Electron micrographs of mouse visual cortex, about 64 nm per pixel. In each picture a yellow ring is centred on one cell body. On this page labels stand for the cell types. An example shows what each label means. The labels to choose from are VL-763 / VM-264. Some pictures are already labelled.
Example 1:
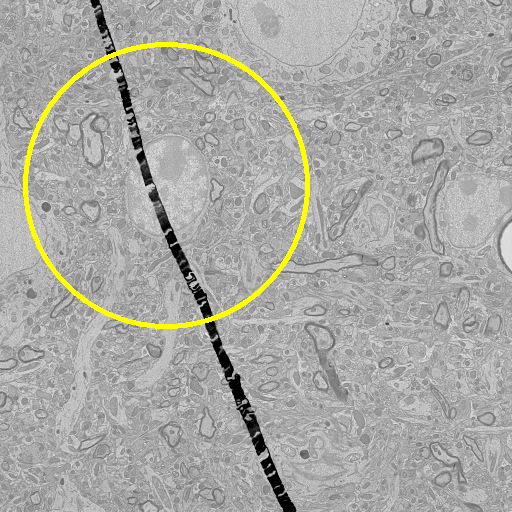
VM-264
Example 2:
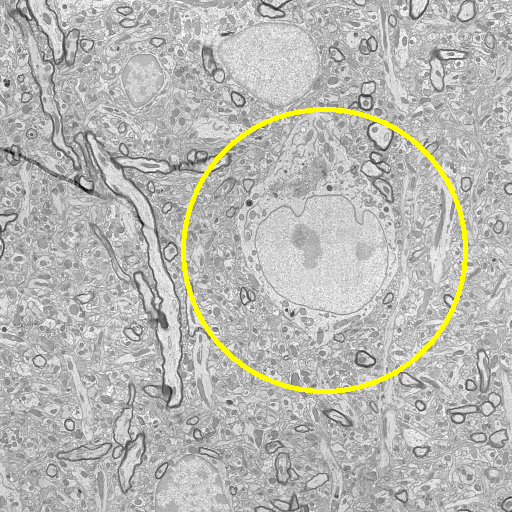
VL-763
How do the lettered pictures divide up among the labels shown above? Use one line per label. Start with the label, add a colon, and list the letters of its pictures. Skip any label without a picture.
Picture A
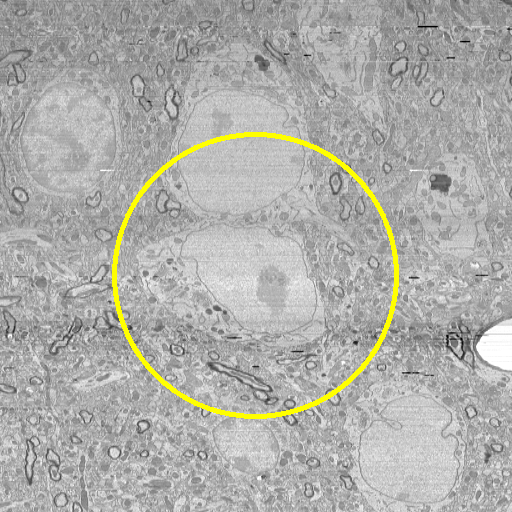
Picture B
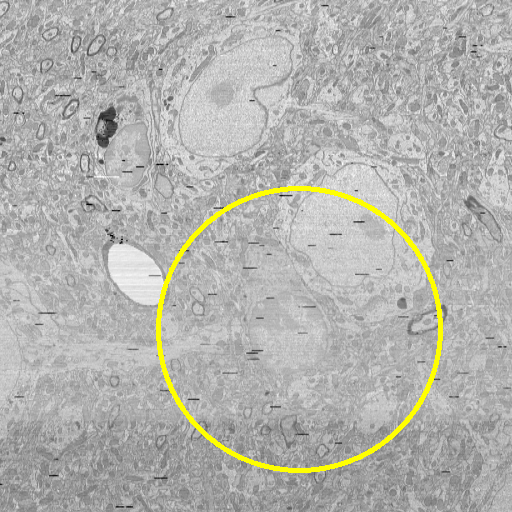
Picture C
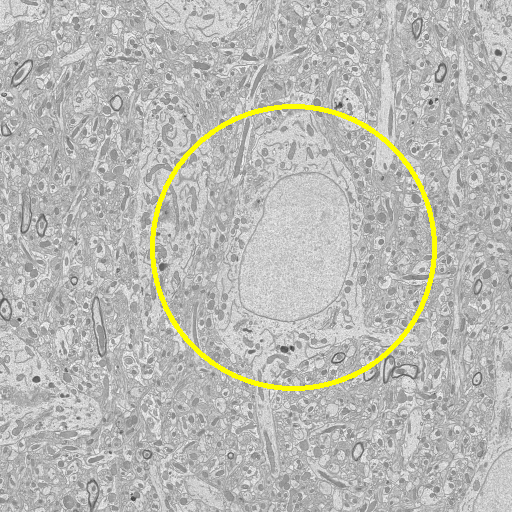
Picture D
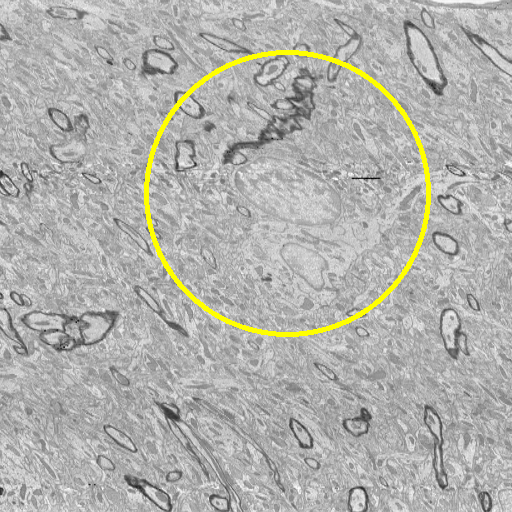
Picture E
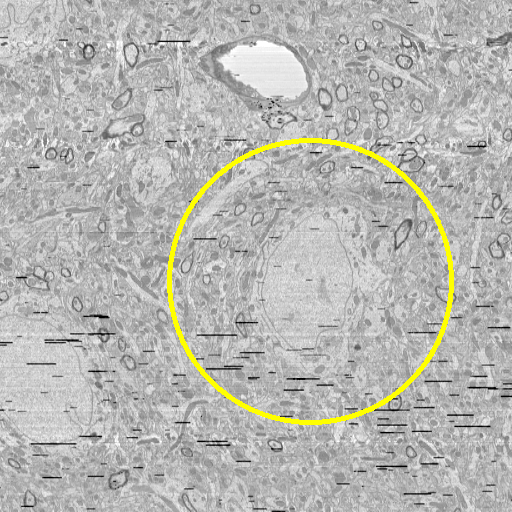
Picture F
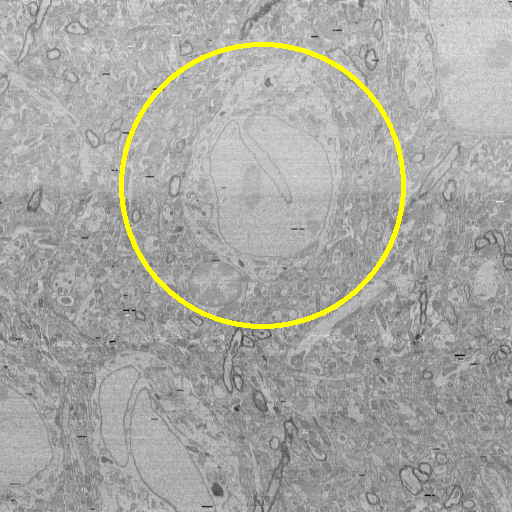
VL-763: A, C, E, F
VM-264: B, D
